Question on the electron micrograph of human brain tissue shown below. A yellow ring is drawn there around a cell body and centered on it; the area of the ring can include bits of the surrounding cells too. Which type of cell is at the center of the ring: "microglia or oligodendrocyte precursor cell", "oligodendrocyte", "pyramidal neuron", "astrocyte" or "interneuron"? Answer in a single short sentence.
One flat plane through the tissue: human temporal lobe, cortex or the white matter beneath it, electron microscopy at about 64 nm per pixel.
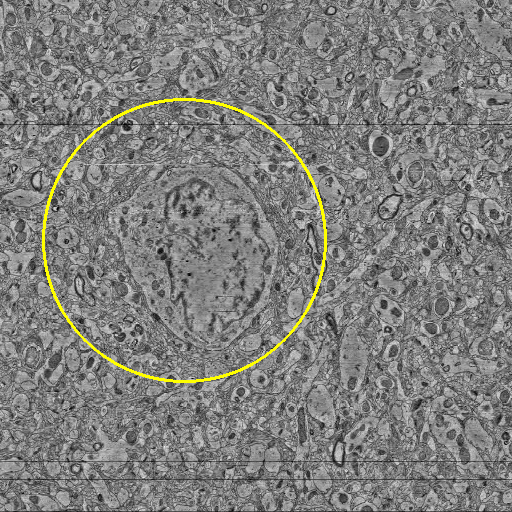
The ring is centered on an interneuron.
